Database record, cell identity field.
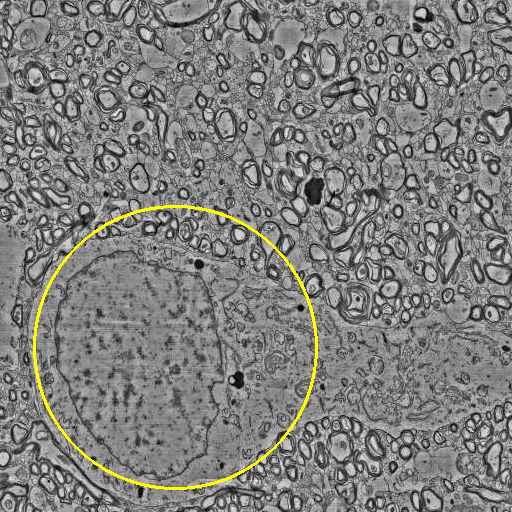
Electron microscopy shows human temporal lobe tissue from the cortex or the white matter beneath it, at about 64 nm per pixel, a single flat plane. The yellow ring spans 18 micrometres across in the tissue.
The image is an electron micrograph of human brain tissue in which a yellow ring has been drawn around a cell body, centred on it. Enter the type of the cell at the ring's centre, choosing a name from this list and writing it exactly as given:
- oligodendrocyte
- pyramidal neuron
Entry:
pyramidal neuron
